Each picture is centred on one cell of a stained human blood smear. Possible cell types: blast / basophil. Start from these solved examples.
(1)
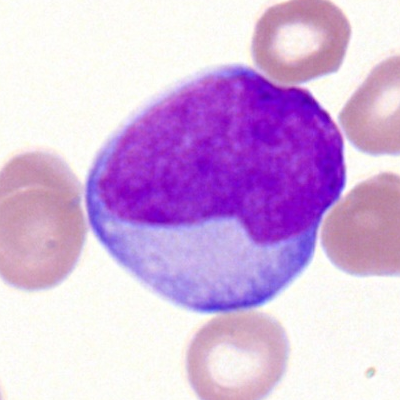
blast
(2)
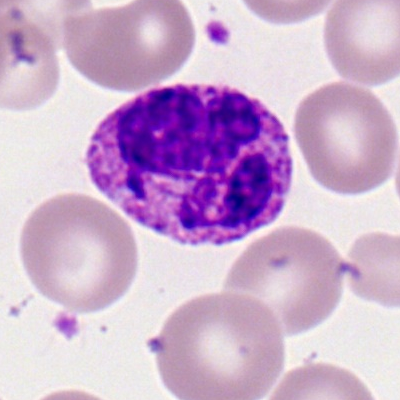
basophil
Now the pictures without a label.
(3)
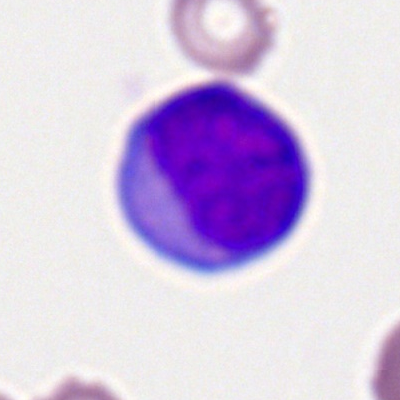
blast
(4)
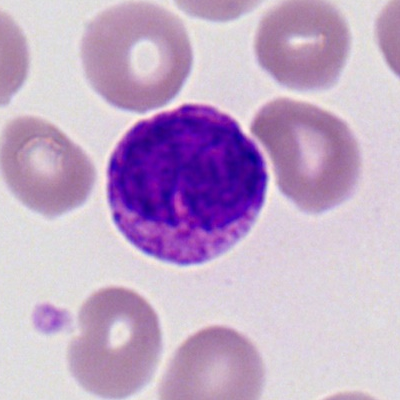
basophil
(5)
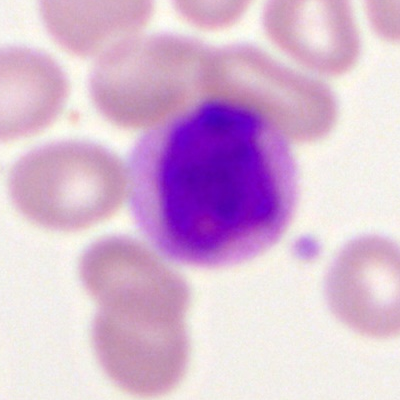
basophil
